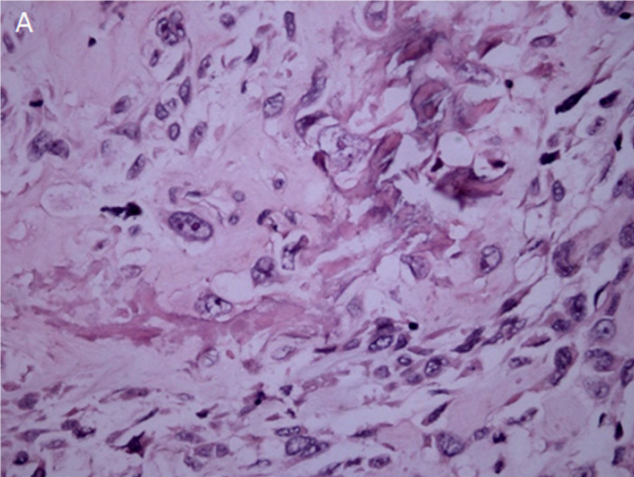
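This is a malignant bone tumor in which atypical tumor cells are laid among deposits of pink, bone-like matrix. Between and around the cells lies a pale pink, glassy to lacy material, the osteoid that the tumor itself makes. Some cells look shrunken back within clear spaces in this matrix.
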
